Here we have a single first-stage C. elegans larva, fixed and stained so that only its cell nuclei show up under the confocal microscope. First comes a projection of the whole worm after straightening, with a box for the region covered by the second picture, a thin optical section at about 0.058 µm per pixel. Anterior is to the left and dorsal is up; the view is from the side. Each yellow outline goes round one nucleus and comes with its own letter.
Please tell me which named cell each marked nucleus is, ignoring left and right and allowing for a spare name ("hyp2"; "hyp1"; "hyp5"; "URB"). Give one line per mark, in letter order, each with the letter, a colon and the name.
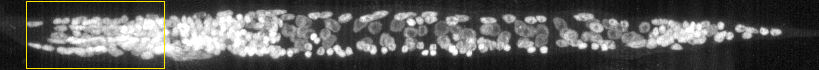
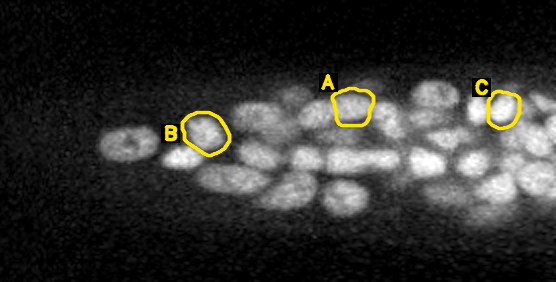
A: hyp1
B: hyp2
C: URB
